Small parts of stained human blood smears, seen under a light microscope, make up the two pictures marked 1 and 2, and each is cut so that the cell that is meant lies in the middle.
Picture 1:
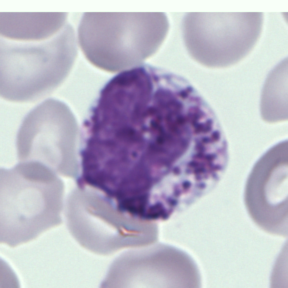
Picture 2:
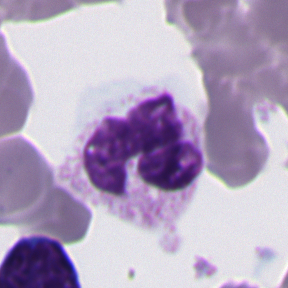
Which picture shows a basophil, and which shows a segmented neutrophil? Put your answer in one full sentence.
It is picture 1 that shows a basophil, and picture 2 that shows a segmented neutrophil.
